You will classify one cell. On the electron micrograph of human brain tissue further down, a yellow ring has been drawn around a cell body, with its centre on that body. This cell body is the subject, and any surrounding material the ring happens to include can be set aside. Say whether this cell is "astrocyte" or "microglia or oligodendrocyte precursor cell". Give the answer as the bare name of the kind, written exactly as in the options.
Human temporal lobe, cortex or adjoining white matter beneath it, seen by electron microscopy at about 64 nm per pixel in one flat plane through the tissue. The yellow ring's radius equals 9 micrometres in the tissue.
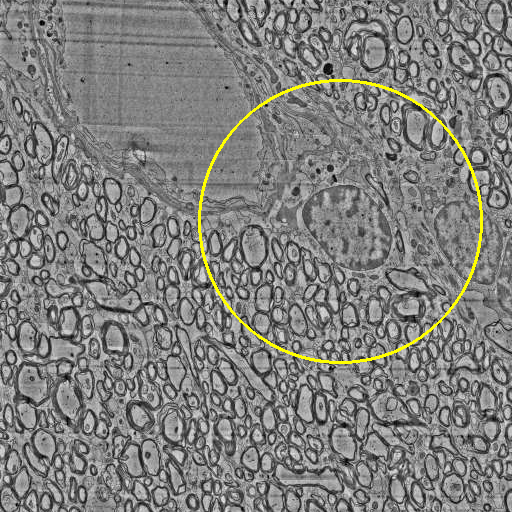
microglia or oligodendrocyte precursor cell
